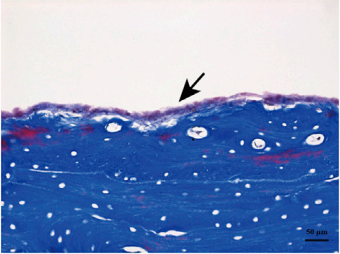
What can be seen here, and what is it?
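A blue-stained dense matrix with many small empty lacunae and a few round clear channels fills the field, with patches of red staining. Its upper surface is covered by a thin layer of cells stained purple-red, lying directly on the blue matrix.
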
